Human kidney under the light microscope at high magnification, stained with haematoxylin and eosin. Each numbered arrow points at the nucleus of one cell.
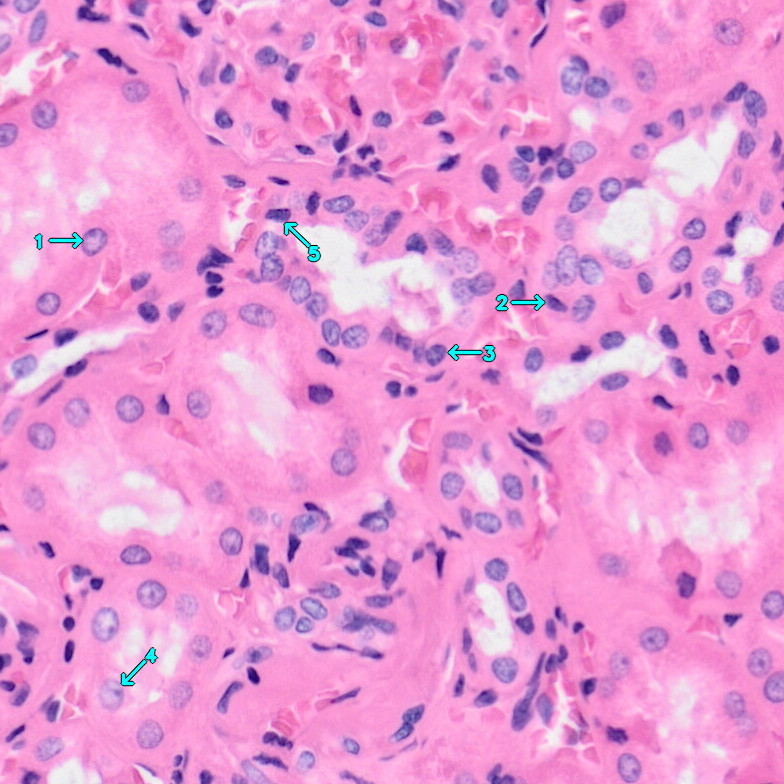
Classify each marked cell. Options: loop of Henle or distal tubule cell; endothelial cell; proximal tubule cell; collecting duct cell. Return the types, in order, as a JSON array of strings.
["proximal tubule cell", "collecting duct cell", "collecting duct cell", "proximal tubule cell", "collecting duct cell"]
